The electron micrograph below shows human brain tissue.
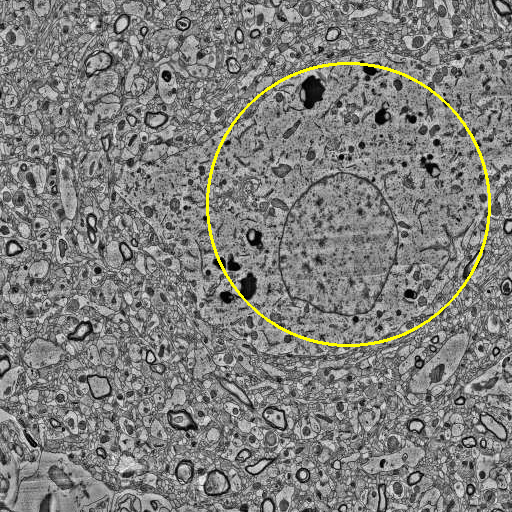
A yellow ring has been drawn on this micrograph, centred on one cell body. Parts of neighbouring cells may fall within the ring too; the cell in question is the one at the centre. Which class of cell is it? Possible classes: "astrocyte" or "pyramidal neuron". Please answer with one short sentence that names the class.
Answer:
In the centre of the ring sits a pyramidal neuron.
